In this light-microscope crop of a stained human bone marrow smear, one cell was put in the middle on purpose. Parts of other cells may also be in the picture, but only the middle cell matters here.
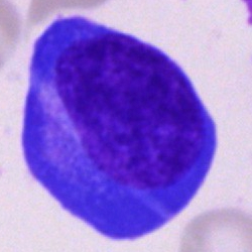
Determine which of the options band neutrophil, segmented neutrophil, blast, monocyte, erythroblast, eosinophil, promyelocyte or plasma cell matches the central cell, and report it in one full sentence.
This crop's central cell is a plasma cell.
